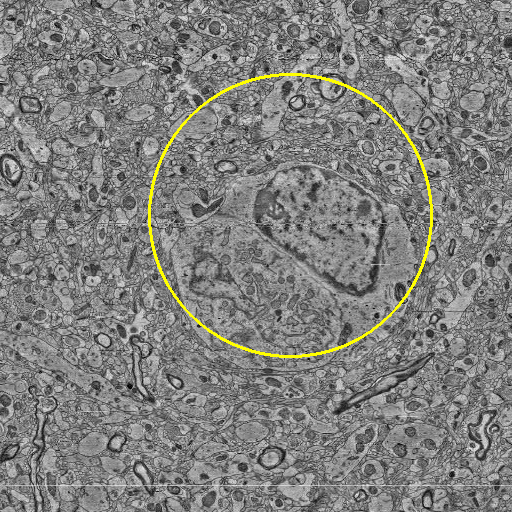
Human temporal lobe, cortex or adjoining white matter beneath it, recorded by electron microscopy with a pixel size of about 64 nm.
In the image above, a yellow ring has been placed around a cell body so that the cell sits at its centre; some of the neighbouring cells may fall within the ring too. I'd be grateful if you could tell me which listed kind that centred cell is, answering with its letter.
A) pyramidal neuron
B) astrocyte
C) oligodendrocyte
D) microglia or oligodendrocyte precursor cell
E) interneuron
D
